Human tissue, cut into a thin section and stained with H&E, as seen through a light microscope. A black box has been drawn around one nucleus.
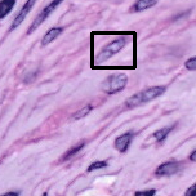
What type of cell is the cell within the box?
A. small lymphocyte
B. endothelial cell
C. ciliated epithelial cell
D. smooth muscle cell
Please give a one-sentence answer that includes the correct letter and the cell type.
In this case the cell within the box is a smooth muscle cell, so option D is correct.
